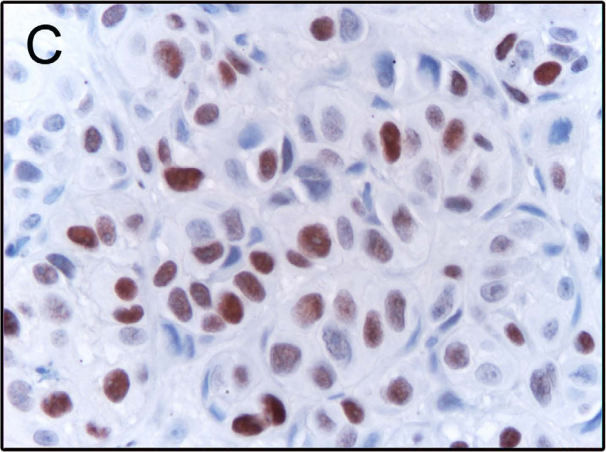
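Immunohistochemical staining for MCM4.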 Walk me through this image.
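Epithelioid cells are arranged in small nests separated by thin pale fibrous septa. The cells have oval to round vesicular nuclei, some with visible nucleoli, and moderate amounts of pale, almost clear cytoplasm with distinct cell borders. Many nuclei are stained brown, with intensity ranging from faint to strong, while others remain blue from the counterstain. The staining is confined to nuclei; cytoplasm and stroma are unstained. A few elongated, darker blue nuclei lie in the septa between the nests.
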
